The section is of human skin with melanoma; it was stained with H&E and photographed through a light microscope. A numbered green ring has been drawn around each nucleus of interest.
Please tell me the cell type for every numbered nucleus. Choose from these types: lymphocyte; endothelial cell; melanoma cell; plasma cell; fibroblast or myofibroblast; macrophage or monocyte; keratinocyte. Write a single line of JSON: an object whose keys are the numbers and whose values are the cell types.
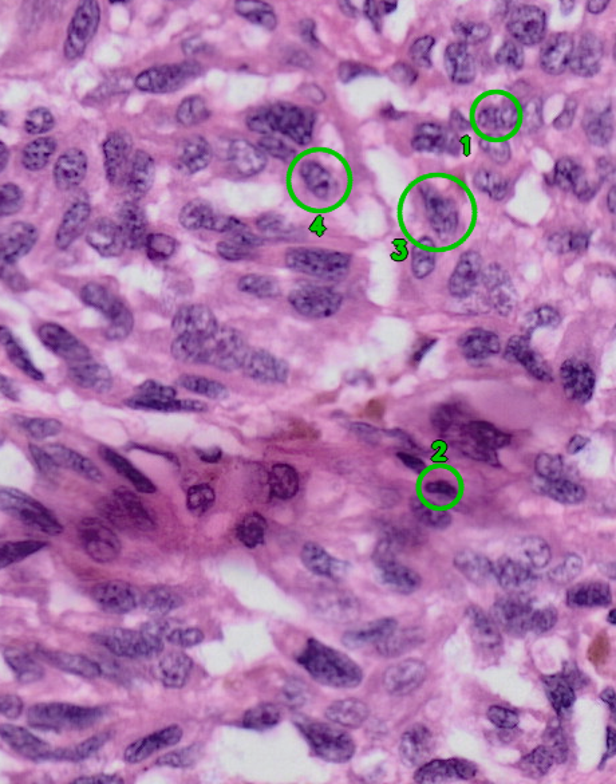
{"1": "melanoma cell", "2": "lymphocyte", "3": "melanoma cell", "4": "melanoma cell"}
